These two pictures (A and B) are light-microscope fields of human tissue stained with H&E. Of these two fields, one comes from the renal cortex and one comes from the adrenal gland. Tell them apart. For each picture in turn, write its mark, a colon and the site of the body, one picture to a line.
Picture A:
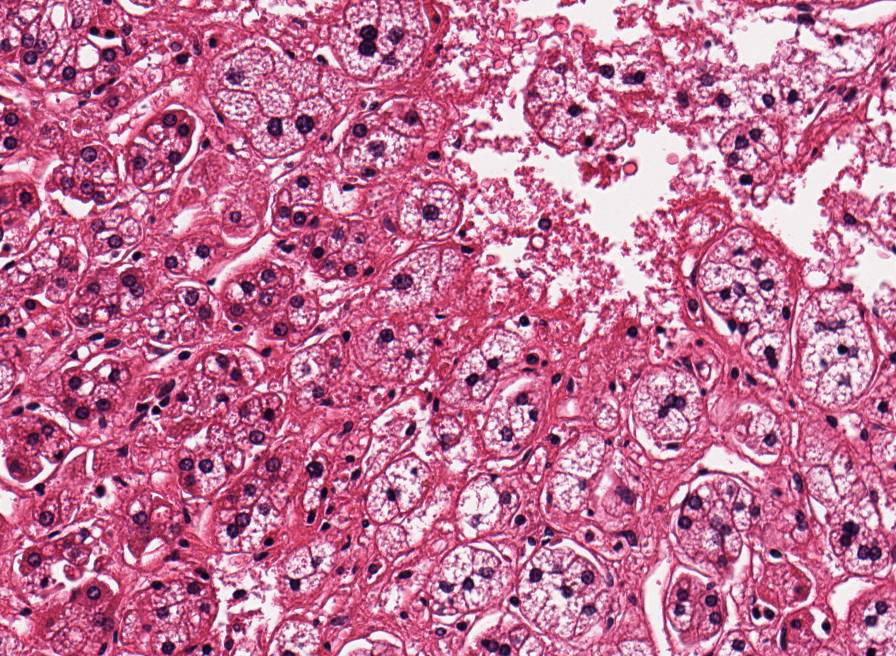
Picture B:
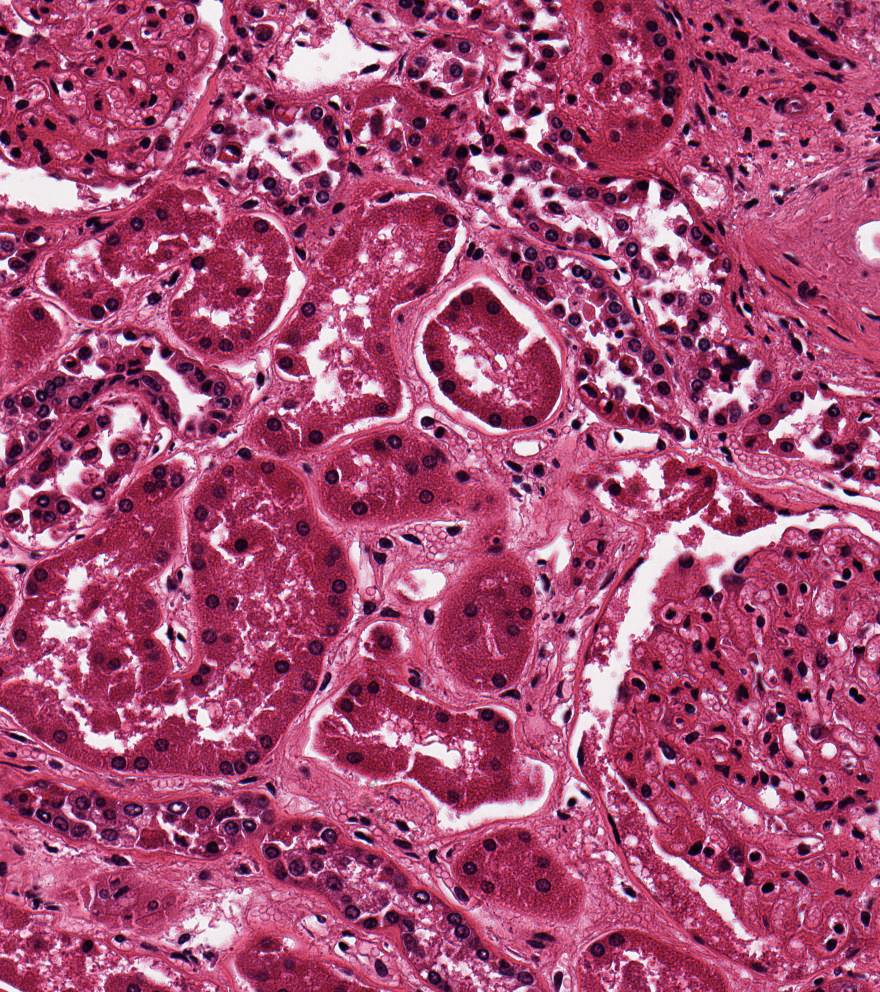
A: adrenal gland
B: renal cortex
